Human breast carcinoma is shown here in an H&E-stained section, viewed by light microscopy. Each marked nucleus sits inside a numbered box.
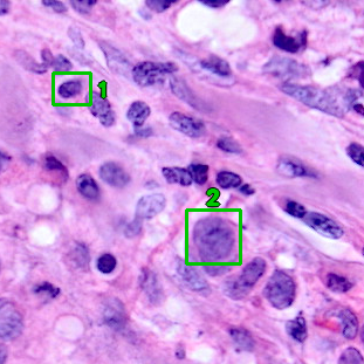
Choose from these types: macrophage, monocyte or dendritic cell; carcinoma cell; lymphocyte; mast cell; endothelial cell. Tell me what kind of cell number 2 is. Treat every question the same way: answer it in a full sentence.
The cell pointed out as number 2 is a carcinoma cell.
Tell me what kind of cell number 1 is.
Here, the cell given the number 1 is a lymphocyte.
